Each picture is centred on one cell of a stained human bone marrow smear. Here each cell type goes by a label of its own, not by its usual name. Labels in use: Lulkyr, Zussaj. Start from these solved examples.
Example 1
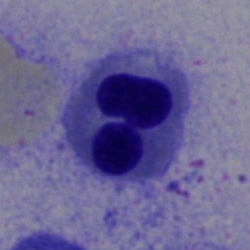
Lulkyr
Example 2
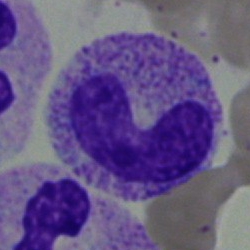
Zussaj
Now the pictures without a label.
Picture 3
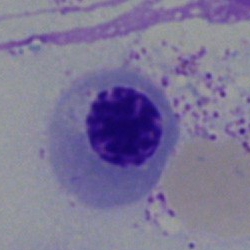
Lulkyr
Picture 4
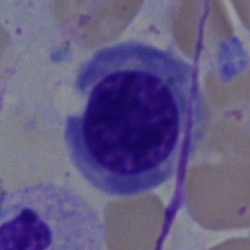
Lulkyr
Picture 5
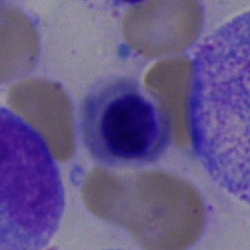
Lulkyr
